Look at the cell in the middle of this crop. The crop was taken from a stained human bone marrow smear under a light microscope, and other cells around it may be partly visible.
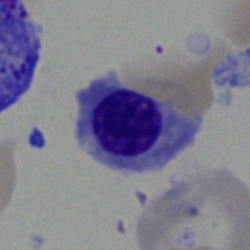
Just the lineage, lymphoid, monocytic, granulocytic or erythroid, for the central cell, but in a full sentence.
Lineage designation for the cell in the middle reads erythroid.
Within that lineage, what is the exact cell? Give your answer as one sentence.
Where the crop is centred, there is an erythroblast.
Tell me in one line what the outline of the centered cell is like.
The cell is bounded by a ragged or projection-bearing margin rather than a smooth one.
